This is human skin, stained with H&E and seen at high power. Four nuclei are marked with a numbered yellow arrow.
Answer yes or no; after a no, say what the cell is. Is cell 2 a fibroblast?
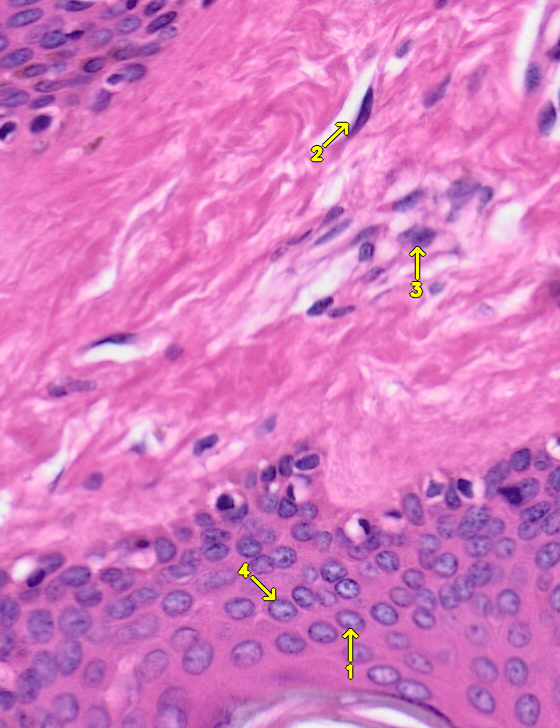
Yes.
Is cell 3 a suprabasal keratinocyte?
No, it is an endothelial cell.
